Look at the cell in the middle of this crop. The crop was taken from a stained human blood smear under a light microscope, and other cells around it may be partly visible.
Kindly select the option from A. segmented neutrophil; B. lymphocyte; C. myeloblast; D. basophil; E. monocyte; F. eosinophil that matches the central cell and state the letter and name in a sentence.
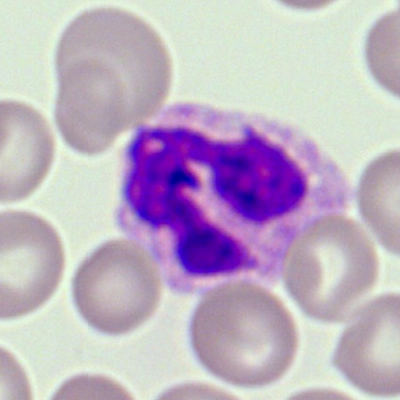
Option D is correct in naming the middle cell a basophil.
